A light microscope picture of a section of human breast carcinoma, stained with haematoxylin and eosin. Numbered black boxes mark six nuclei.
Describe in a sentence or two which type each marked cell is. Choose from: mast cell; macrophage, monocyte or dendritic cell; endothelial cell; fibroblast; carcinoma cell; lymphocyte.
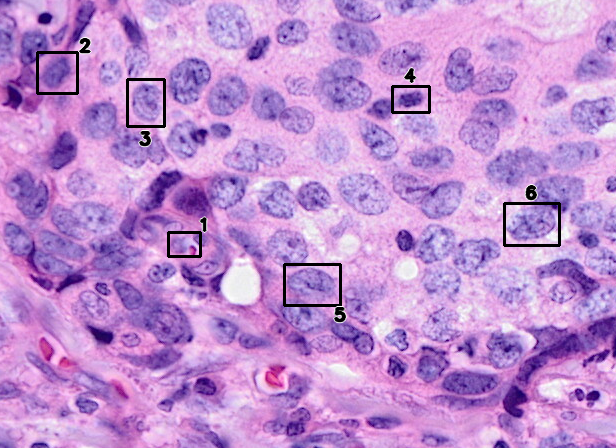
Cell 1 is an endothelial cell, cell 2 is a carcinoma cell, cell 3 is a carcinoma cell, cell 4 is a lymphocyte, cell 5 is a carcinoma cell and cell 6 is a carcinoma cell.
